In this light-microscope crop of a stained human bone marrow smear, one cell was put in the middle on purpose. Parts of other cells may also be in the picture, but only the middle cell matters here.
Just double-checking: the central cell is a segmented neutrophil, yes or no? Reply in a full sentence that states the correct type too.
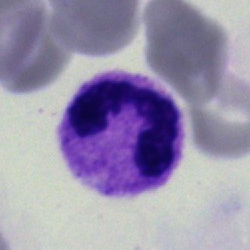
Yes, in this crop the cell in the middle is a segmented neutrophil.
